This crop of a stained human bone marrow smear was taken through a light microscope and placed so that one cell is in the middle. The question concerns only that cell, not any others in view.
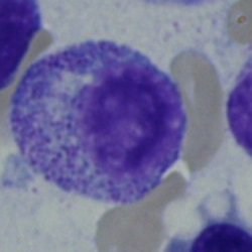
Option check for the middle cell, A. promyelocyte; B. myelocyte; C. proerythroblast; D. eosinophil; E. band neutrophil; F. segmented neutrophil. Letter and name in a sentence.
Option B is the right choice, the central cell being a myelocyte.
